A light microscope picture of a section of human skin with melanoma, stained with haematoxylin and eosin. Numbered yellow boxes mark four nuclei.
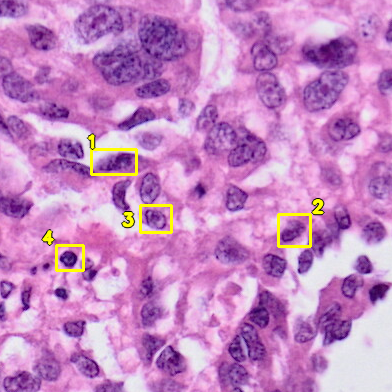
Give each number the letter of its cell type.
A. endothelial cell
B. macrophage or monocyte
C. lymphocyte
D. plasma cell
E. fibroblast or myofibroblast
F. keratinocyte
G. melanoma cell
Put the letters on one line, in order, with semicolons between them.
G; G; G; C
